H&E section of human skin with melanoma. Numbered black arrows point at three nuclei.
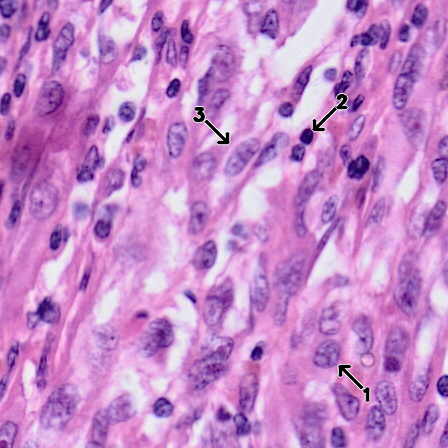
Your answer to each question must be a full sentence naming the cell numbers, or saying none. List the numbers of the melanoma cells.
The cells numbered 1 and 3 are typed as melanoma cells.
